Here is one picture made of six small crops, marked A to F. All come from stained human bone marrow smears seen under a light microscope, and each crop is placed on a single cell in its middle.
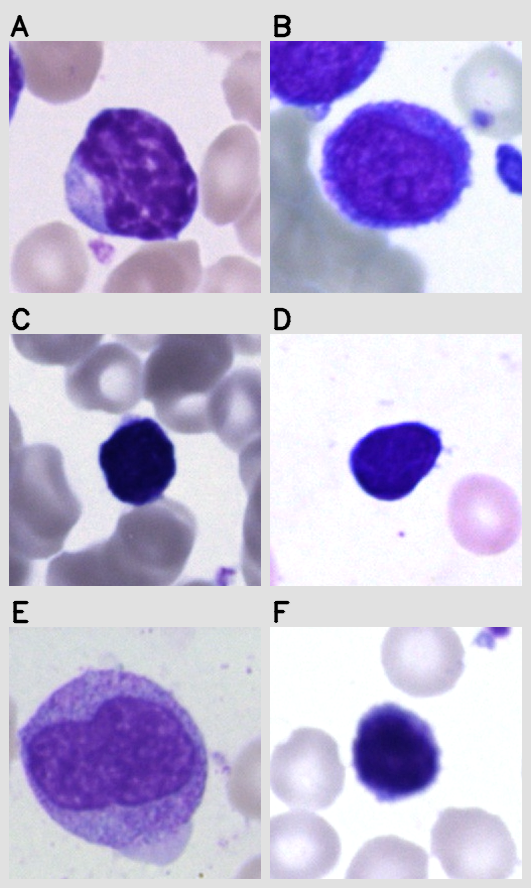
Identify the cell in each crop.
A: blast
B: blast
C: lymphocyte
D: lymphocyte
E: promyelocyte
F: lymphocyte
